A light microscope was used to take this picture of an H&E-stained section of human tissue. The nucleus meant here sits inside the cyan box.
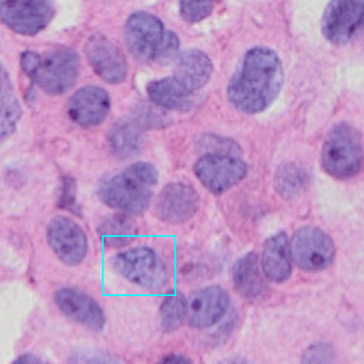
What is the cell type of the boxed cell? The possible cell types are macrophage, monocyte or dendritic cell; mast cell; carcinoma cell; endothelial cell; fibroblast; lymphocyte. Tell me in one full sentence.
Within this tissue, the boxed cell is a carcinoma cell.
